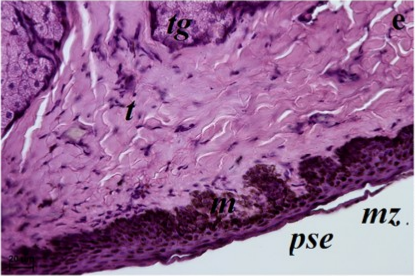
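This is the inner part of the eyelid, where a stratified lining epithelium runs along the lower edge and contains melanocytes. The melanocytes show as brown-black pigment gathered in clumps in the deep layers of the epithelium. Above the epithelium lies the tarsus, a broad pink field of dense collagen with scattered, elongated dark nuclei of fibroblasts. At the top of the field the edge of a tarsal gland lobule can be seen, made of closely set purple-staining gland cells. The arrangement thus goes from gland, through the fibrous tarsus, to the pigmented lining epithelium.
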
